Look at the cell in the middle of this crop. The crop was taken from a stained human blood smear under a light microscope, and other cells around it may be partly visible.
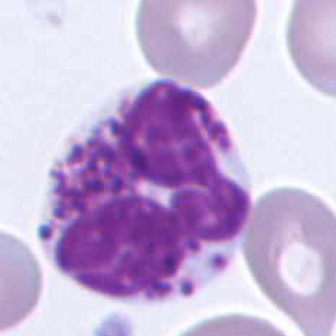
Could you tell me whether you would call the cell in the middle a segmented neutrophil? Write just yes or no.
no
